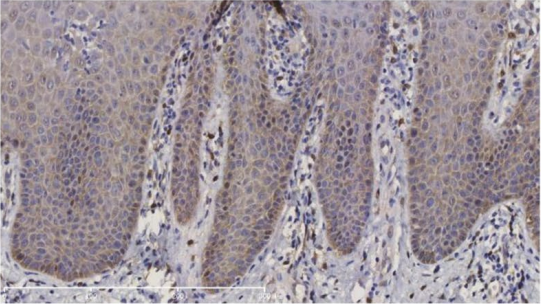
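The keratinocytes are polygonal with round to oval blue nuclei and a light brown cytoplasm, with the brown stain accentuated along cell borders. Between the ridges, narrow dermal papillae contain many small, dark, elongated and round nuclei of stromal and inflammatory cells. The basal layer lines the ridges where they meet the papillae, and the cells become larger toward the surface.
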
